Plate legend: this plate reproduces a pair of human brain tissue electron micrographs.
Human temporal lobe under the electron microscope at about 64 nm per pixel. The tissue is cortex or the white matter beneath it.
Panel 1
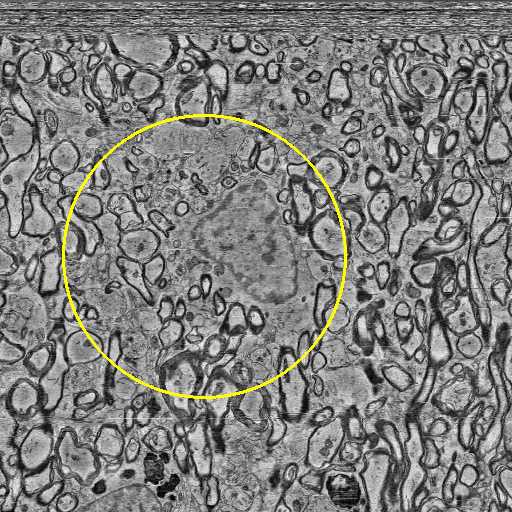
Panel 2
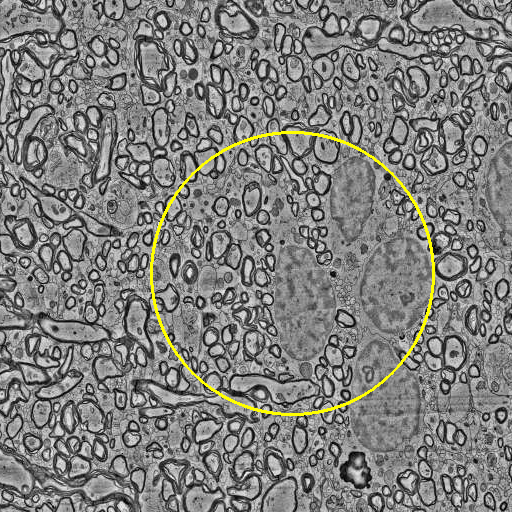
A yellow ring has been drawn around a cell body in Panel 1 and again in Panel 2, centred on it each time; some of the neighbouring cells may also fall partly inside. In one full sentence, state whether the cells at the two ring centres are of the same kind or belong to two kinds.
The ring-centred cells of Panel 1 and Panel 2 are of the same kind.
